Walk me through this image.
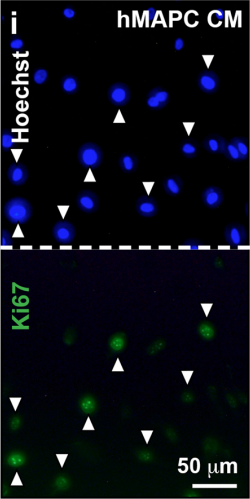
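The white arrowheads pair each green nucleus below with its blue counterpart above. The cytoplasm and cell borders are not shown, so only the size, shape and spacing of the nuclei can be judged.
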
